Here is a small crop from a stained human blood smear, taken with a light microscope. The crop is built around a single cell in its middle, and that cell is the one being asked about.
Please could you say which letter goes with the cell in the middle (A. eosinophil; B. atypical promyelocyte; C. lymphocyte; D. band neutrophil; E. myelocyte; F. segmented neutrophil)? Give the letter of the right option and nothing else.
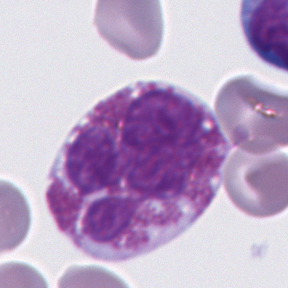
A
